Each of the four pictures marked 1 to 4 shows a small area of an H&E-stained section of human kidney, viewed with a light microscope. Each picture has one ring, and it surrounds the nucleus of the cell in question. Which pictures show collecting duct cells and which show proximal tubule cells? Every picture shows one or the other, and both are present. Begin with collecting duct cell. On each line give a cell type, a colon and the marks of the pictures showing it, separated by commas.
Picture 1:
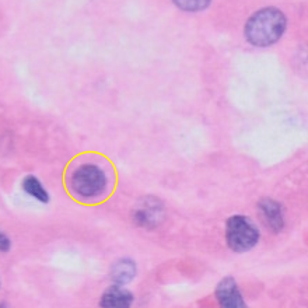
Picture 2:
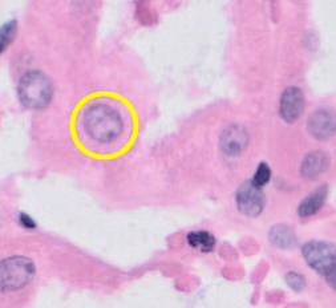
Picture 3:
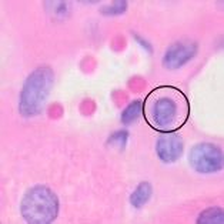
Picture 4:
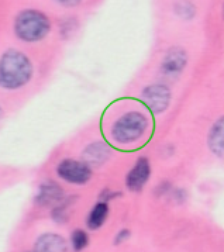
collecting duct cell: 3, 4
proximal tubule cell: 1, 2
